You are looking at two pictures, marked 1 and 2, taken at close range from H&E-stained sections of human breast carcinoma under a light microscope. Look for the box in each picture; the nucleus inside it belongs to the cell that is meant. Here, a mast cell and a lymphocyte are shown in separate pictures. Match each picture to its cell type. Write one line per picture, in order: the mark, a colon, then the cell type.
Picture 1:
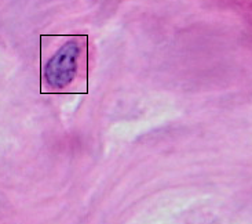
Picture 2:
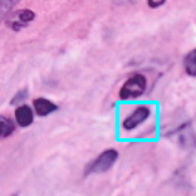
1: mast cell
2: lymphocyte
